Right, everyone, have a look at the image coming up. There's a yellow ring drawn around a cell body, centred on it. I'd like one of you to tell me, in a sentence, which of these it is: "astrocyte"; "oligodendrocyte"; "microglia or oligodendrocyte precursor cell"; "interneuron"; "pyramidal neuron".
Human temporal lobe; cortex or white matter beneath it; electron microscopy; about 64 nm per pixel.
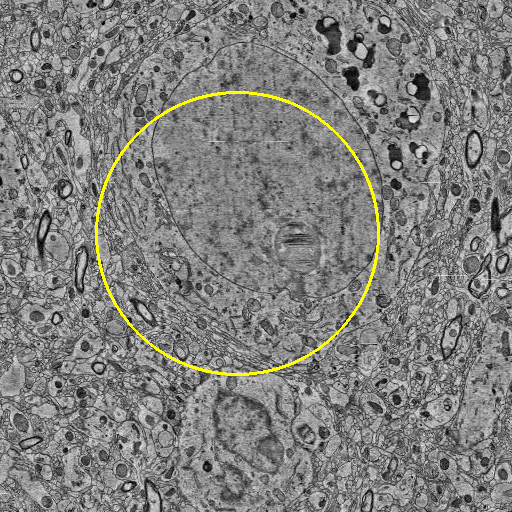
The yellow ring sits on a pyramidal neuron.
